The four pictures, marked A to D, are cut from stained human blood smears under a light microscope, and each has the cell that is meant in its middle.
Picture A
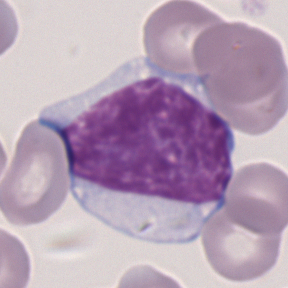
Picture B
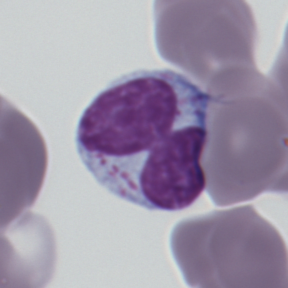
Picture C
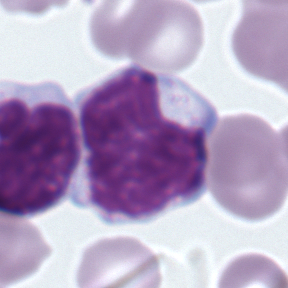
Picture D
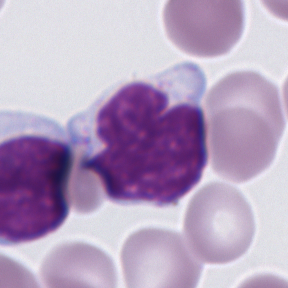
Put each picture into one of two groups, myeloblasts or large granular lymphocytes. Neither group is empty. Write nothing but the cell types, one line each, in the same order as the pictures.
myeloblast
large granular lymphocyte
large granular lymphocyte
large granular lymphocyte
